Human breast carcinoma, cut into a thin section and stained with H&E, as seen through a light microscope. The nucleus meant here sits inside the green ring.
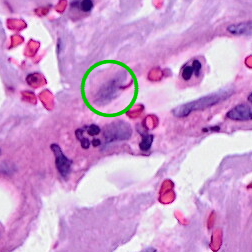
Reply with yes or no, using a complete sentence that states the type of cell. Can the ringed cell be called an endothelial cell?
Yes, where cell type is concerned, the ringed cell is an endothelial cell.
